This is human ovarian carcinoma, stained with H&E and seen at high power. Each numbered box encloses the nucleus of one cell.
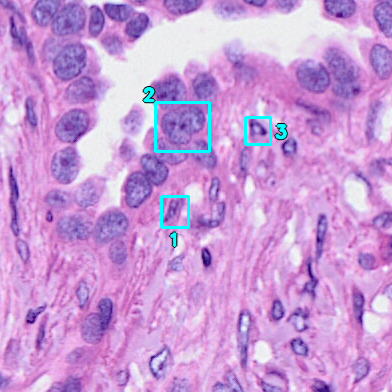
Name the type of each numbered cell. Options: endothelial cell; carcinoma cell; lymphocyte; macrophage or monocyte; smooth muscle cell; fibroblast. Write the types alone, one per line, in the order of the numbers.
fibroblast
carcinoma cell
fibroblast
